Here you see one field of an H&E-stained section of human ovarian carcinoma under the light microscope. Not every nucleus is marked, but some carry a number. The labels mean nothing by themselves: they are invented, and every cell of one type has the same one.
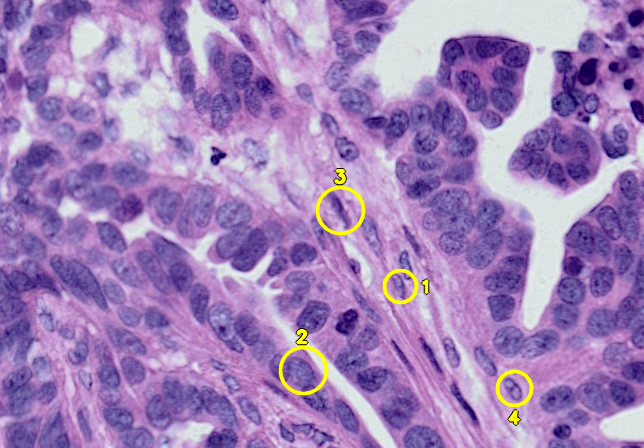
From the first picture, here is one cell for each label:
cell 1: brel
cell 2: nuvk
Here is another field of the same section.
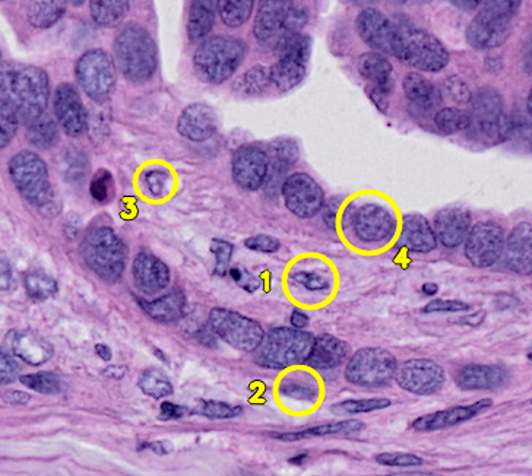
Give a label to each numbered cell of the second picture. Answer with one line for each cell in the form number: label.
1: brel
2: brel
3: brel
4: nuvk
